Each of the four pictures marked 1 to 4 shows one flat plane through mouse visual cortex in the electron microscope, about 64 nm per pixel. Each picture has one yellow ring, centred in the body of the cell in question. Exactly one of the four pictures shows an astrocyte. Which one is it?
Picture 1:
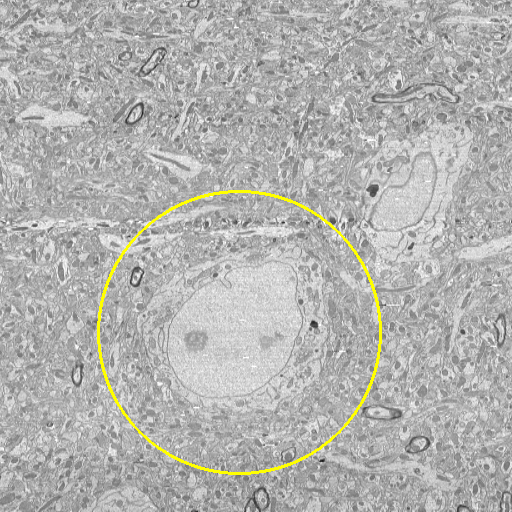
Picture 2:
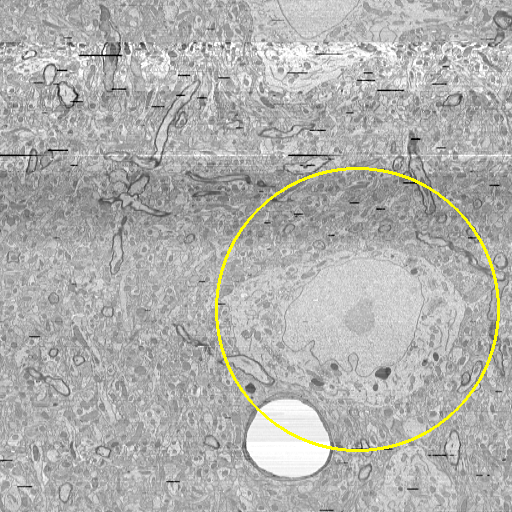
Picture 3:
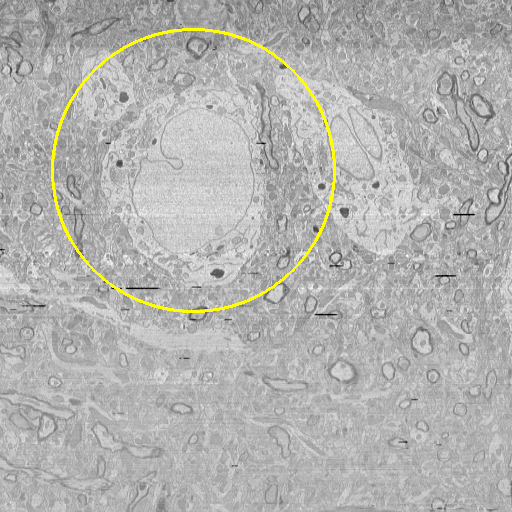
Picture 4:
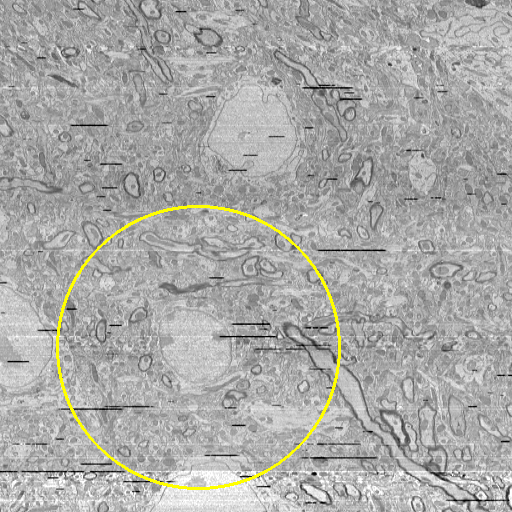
The cell in picture 4 is the astrocyte.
